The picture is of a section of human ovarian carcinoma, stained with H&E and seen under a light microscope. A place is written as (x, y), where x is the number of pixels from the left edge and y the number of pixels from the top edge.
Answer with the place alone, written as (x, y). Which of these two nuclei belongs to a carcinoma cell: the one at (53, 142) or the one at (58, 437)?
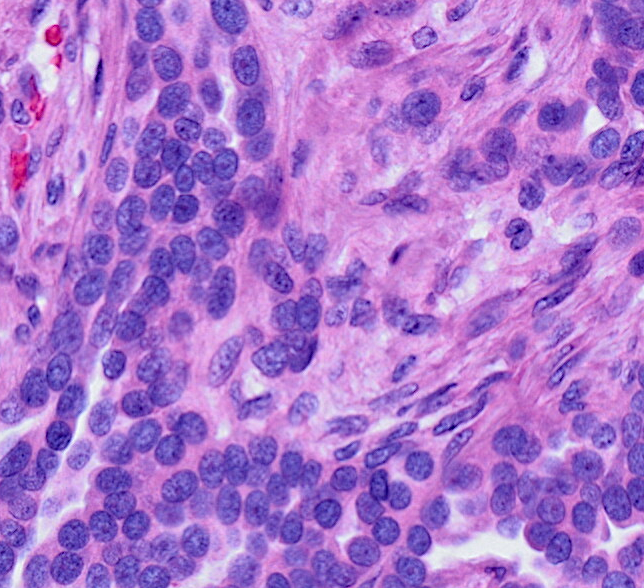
(58, 437)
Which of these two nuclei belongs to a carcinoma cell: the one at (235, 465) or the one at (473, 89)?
(235, 465)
